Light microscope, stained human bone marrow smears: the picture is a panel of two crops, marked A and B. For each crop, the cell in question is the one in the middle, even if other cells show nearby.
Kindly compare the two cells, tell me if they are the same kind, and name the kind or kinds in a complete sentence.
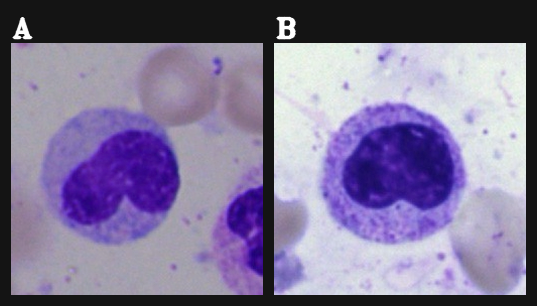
Yes, the two crops show metamyelocytes, one cell each.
